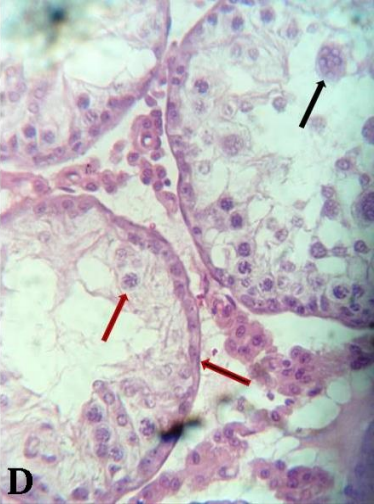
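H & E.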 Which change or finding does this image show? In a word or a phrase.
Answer: Testicular atrophy and degeneration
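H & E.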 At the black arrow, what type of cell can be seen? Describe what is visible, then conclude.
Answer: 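The black arrow points at a large rounded cell lying free in a lumen. The cell holds more than one nucleus.
Conclusion: multinucleated spermatids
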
